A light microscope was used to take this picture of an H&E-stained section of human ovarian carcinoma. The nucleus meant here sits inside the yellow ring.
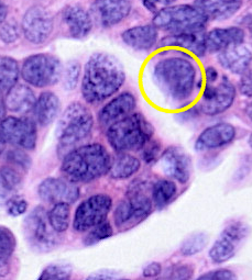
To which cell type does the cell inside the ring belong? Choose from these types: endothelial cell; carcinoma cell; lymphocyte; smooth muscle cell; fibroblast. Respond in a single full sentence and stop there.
Cell type answer for this item: the cell inside the ring is a carcinoma cell.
